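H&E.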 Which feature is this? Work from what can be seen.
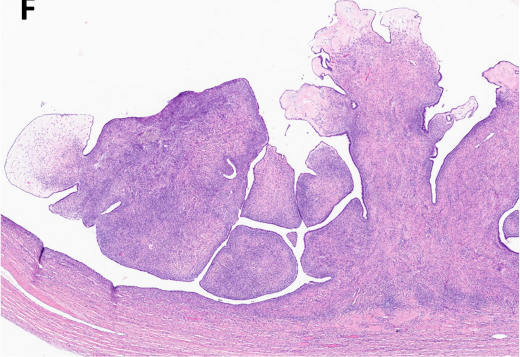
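Broad, rounded projections with dense stromal cores protrude from a cyst wall into a lumen. The projections are covered by a thin surface lining. The answer: fibromatous papillae.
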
